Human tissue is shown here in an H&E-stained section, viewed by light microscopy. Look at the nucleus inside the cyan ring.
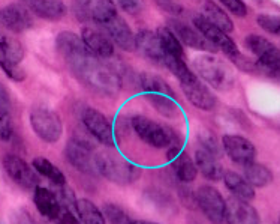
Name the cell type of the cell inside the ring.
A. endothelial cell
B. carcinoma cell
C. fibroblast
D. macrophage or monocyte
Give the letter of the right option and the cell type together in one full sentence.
Option B is the one to take: the cell inside the ring is a carcinoma cell.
